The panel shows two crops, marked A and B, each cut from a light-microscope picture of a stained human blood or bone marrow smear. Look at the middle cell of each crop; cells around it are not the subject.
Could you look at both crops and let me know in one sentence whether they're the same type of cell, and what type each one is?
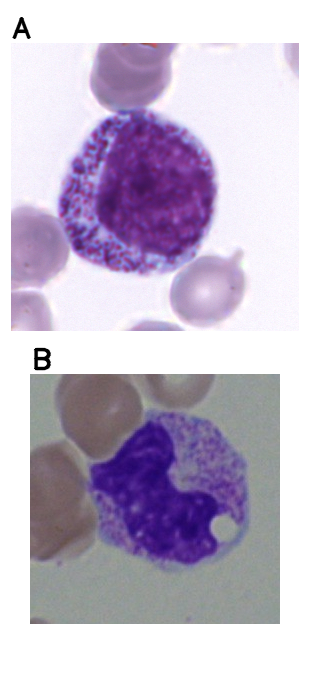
No, crop A holds a myelocyte, and a metamyelocyte occupies crop B.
